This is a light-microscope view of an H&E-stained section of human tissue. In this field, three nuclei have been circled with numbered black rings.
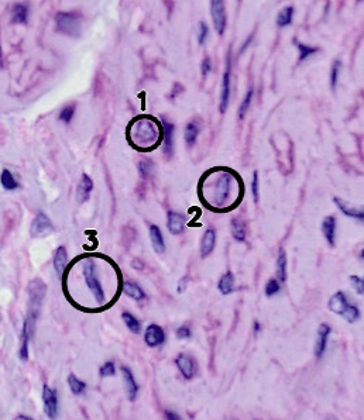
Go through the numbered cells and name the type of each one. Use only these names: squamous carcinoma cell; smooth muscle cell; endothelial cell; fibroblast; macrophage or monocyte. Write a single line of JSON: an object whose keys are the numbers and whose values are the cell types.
{"1": "smooth muscle cell", "2": "smooth muscle cell", "3": "fibroblast"}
